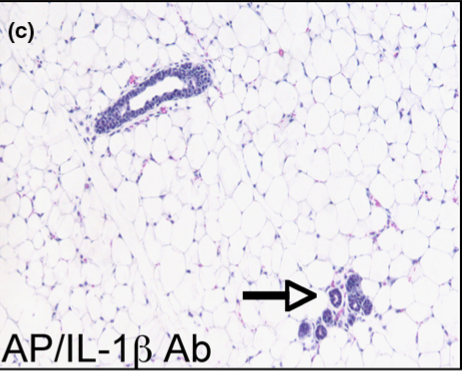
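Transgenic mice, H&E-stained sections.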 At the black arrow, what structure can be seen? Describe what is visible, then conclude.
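Epithelial budding structures. The arrow points to a small cluster of rounded purple epithelial profiles lying among fat cells. The cluster consists of several small buds rather than one smooth tube.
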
